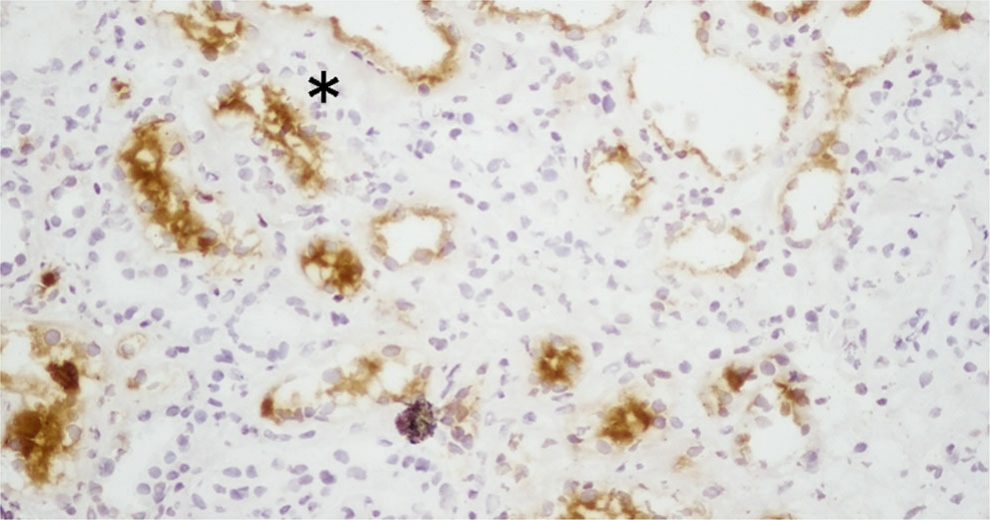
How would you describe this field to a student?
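Kidney tissue with cross-sections of tubules, several of them dilated, whose lining cells carry a brown stain concentrated along their luminal, apical surface. The lining epithelium of many tubules is flattened and irregular around wide lumens, while the blue nuclei sit toward the tubule base. Between the tubules the interstitium is crowded with small, round to oval blue nuclei.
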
